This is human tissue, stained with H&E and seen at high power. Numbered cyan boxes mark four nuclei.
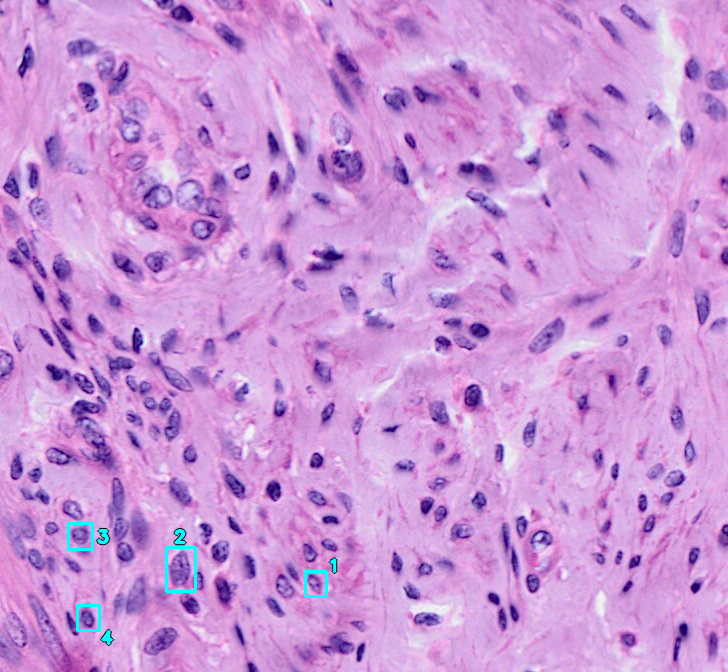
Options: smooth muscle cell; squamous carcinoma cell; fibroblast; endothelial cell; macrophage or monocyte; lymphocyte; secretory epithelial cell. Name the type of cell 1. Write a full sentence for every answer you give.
Cell 1, as marked in the section, is a smooth muscle cell.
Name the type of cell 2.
The numbered cell 2 in this field is a fibroblast.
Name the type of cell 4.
Of the numbered cells, the one labelled 4 is a smooth muscle cell.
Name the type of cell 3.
The identity of cell 3 is that of a smooth muscle cell.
